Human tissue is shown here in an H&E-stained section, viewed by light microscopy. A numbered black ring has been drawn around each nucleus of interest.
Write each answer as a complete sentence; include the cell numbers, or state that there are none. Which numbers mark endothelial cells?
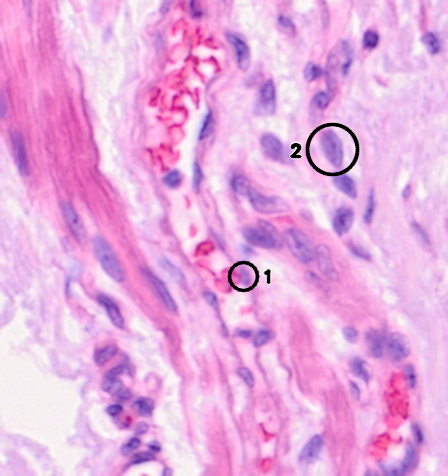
Among the labelled cells, only the cell labelled 1 is an endothelial cell.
